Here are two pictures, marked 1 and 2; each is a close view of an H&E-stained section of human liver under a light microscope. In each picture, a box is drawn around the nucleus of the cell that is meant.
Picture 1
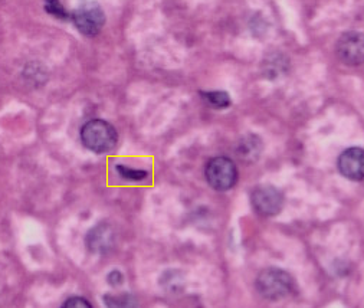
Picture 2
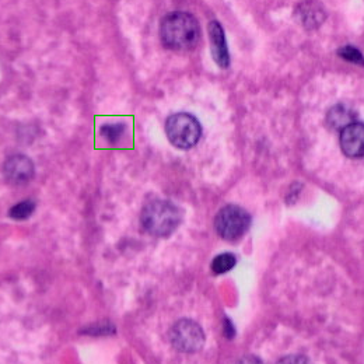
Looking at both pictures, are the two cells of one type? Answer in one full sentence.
Yes, the two pictures both show endothelial cells.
